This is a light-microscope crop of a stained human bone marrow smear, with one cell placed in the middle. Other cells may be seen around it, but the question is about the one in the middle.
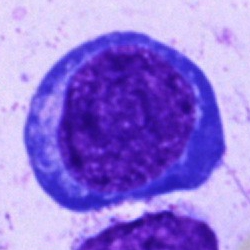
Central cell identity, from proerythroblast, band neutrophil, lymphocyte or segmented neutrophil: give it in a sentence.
In the centre of this crop there is a proerythroblast.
